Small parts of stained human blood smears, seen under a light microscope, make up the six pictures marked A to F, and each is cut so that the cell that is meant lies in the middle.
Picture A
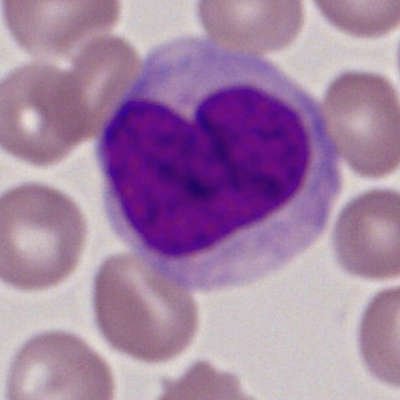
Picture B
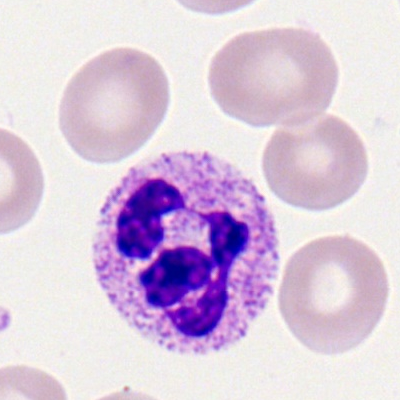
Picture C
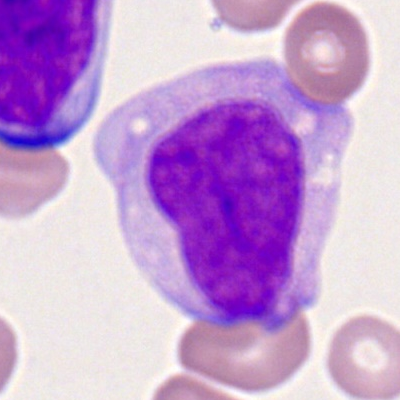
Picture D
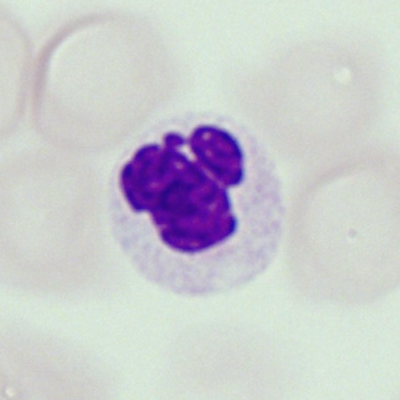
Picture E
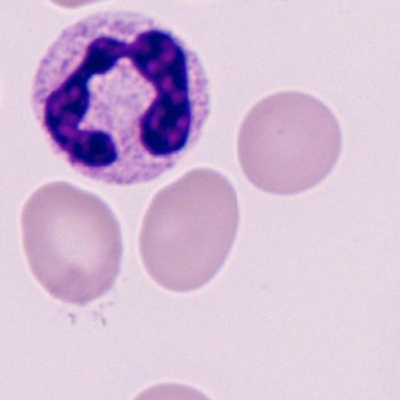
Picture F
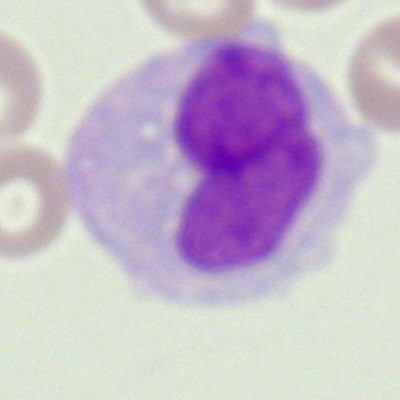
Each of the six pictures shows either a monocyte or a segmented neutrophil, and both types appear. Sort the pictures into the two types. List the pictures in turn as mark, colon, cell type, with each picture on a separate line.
A: monocyte
B: segmented neutrophil
C: monocyte
D: segmented neutrophil
E: segmented neutrophil
F: monocyte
